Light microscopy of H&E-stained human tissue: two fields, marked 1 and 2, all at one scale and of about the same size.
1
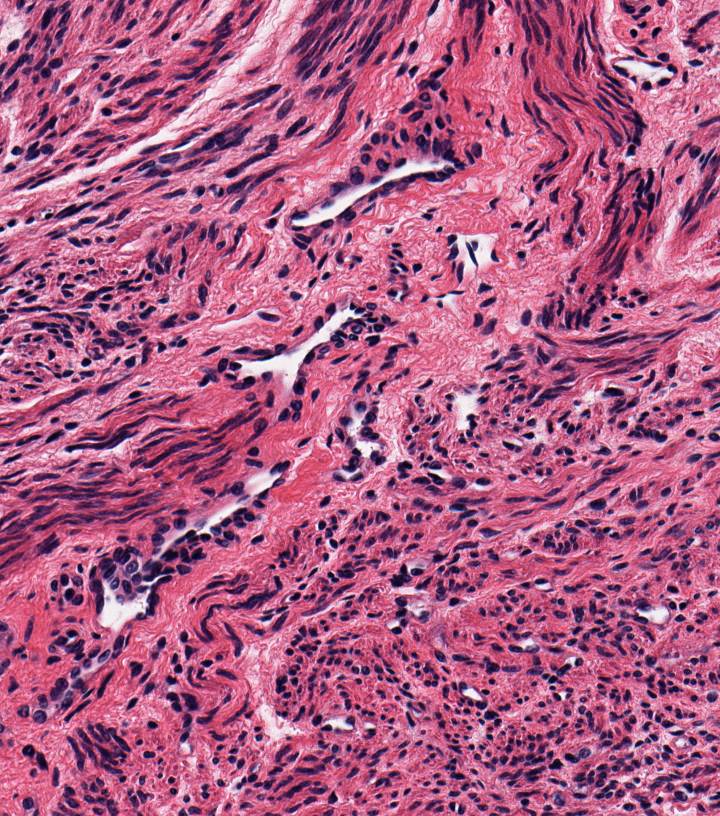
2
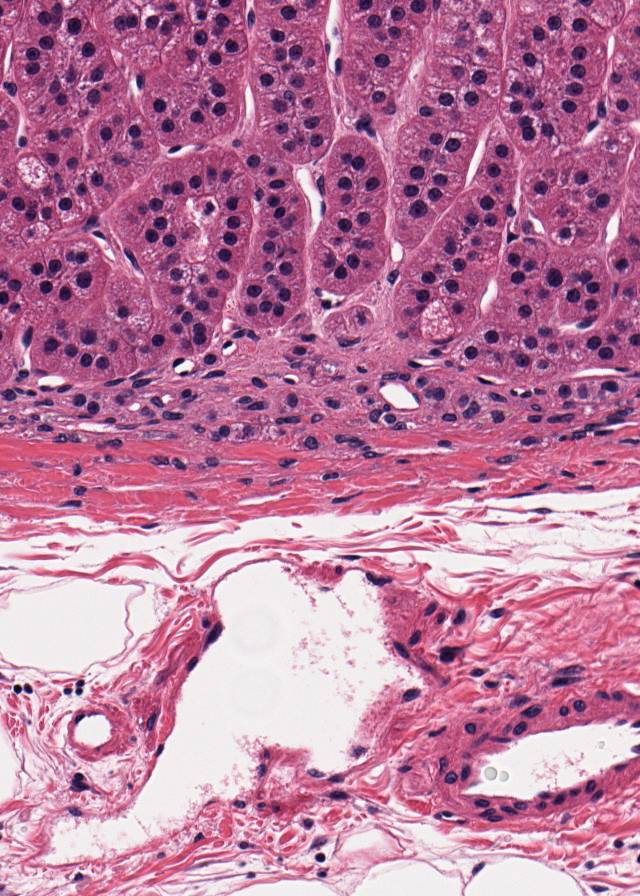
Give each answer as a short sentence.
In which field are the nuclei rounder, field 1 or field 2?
The nuclei are rounder in field 2.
